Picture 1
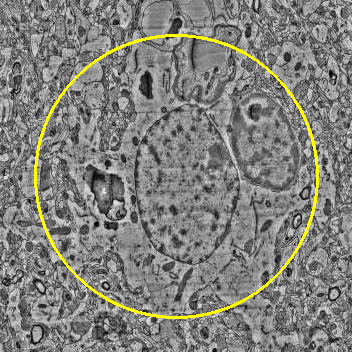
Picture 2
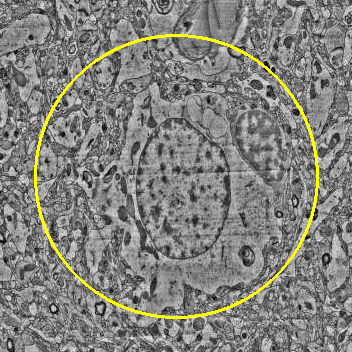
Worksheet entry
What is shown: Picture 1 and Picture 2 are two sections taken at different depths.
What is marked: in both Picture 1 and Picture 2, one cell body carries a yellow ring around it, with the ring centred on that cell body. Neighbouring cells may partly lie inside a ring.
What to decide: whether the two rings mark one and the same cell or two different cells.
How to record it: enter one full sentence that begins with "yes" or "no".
Yes, both circles in yellow pick out the same cell.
